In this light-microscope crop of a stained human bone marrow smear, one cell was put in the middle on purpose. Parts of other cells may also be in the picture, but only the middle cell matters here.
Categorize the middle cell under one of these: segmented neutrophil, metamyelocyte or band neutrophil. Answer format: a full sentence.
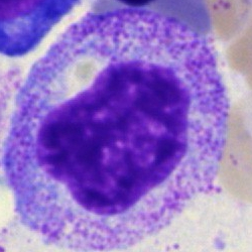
Answering briefly, the cell in the middle is a metamyelocyte.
